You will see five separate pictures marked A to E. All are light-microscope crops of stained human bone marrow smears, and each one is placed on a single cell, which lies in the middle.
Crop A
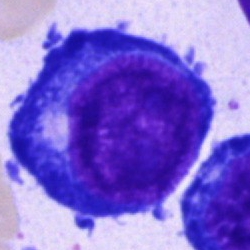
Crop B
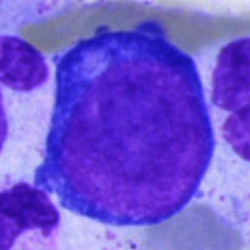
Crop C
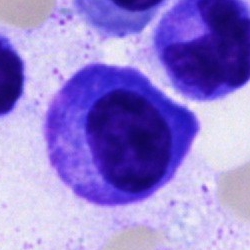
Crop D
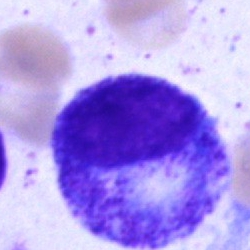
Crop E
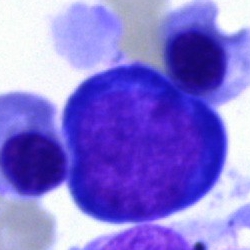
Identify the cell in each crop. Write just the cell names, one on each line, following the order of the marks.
proerythroblast
proerythroblast
plasma cell
promyelocyte
proerythroblast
